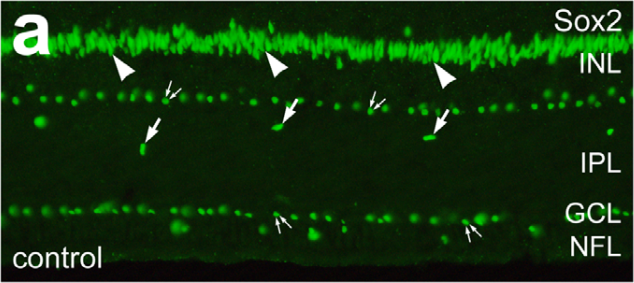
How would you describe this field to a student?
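This vertical section of retina shows the nuclei of Müller glia in the inner nuclear layer and of cholinergic amacrine cells. Across the top runs a dense band of bright green, elongated nuclei oriented radially, packed side by side within the inner nuclear layer. Beneath it, a single regular row of small round green nuclei marks the inner edge of that layer. The inner plexiform layer below is largely dark, with a few scattered, somewhat elongated labelled nuclei lying within it. Near the bottom another row of small round nuclei lies in the ganglion cell layer, above the nerve fibre layer.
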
